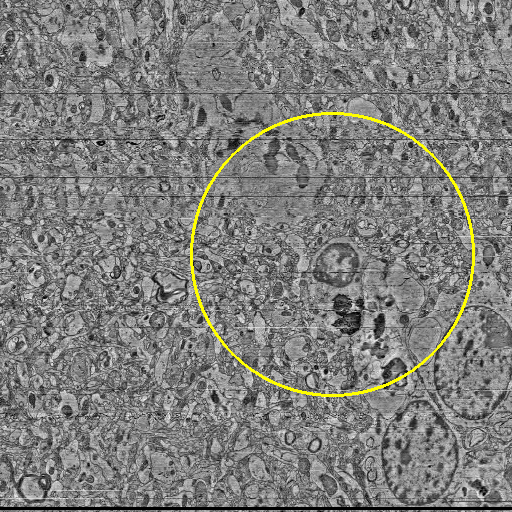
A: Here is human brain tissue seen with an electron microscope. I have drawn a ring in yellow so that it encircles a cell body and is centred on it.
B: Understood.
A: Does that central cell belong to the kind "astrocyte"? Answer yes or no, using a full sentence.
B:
No, the central cell inside your yellow ring belongs to another kind.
